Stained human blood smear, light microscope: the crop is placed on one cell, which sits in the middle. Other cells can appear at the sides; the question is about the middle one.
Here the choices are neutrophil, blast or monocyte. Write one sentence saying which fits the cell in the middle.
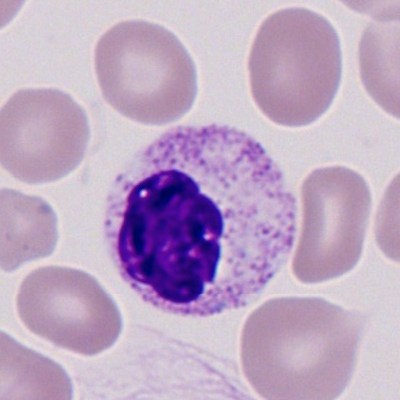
The middle of this crop is occupied by a neutrophil.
